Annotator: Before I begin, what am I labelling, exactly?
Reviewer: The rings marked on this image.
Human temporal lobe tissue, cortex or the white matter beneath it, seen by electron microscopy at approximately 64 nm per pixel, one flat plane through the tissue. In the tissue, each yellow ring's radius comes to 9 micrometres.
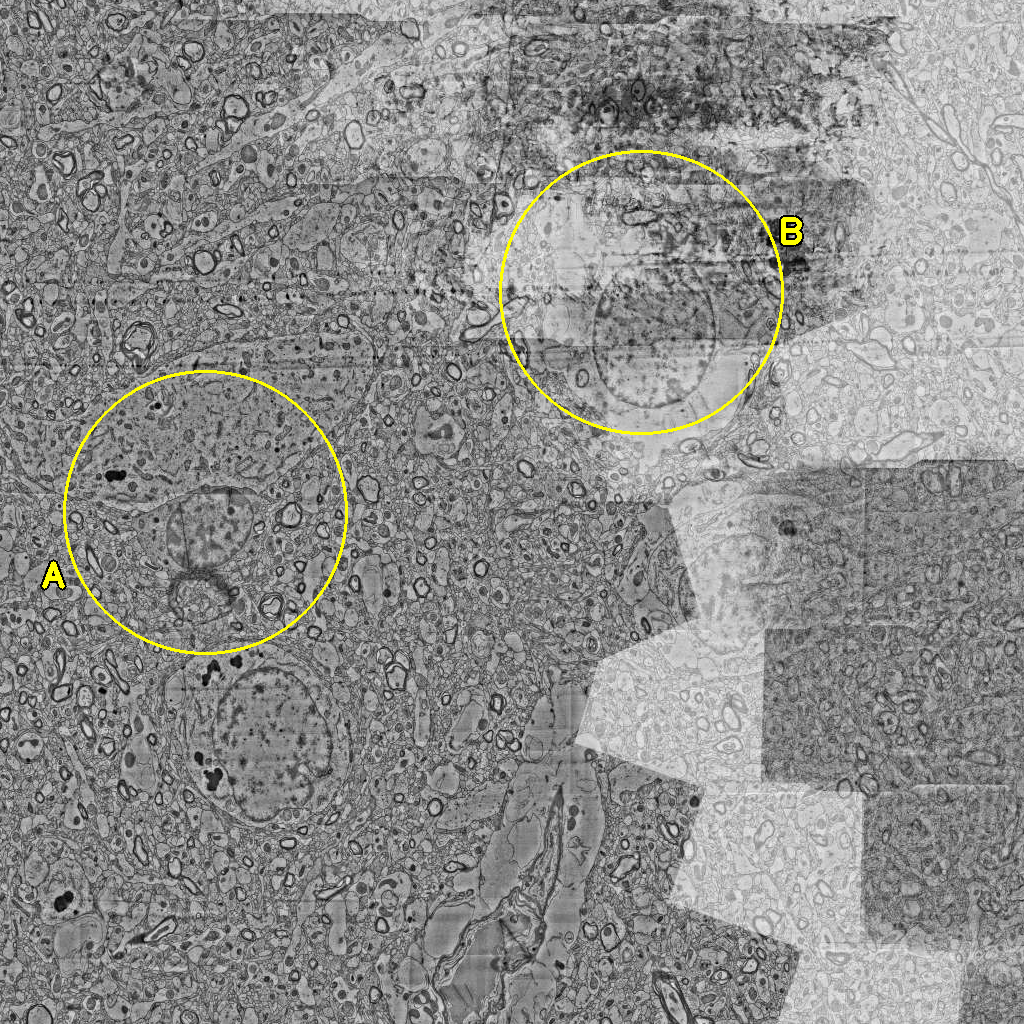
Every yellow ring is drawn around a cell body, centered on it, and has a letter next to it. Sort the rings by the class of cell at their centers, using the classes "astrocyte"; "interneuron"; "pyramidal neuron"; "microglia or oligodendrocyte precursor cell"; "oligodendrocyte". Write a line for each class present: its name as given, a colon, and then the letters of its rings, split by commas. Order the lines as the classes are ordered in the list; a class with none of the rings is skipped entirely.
astrocyte: B
oligodendrocyte: A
